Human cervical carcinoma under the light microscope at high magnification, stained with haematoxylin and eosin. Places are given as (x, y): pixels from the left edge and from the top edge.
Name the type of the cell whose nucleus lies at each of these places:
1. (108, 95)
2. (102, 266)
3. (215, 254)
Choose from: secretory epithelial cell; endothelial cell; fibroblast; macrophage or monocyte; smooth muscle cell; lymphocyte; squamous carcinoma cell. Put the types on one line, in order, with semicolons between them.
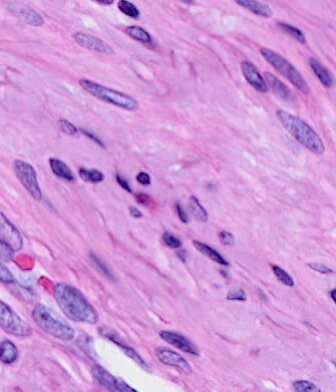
smooth muscle cell; smooth muscle cell; fibroblast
